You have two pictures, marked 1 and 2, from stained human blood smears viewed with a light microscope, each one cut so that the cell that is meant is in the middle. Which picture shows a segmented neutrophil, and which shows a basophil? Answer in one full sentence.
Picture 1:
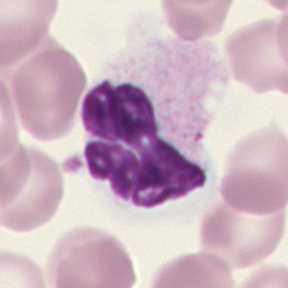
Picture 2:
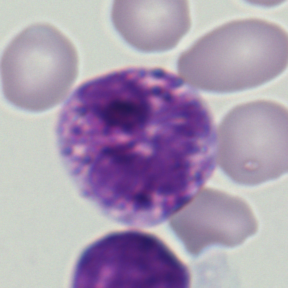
Picture 1 shows a segmented neutrophil and picture 2 shows a basophil.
